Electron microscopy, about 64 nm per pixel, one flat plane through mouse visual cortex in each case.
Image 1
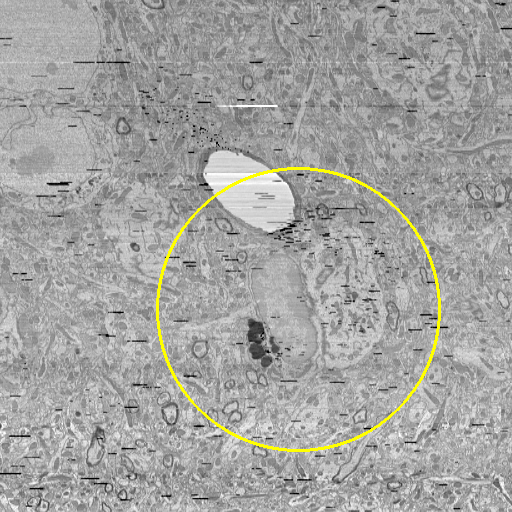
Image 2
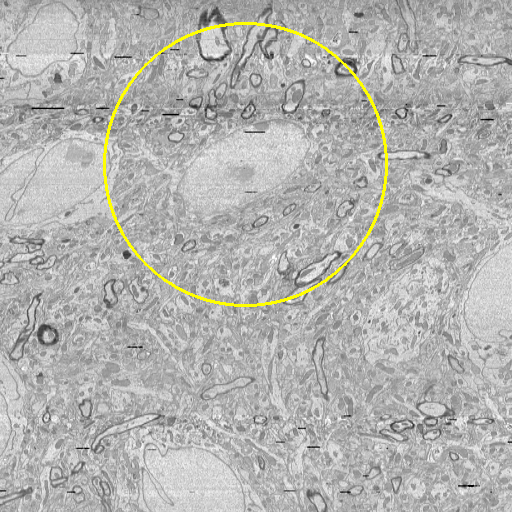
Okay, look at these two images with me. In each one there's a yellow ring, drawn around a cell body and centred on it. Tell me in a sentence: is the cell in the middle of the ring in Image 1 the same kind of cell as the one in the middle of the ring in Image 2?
No, they're two kinds of cell.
